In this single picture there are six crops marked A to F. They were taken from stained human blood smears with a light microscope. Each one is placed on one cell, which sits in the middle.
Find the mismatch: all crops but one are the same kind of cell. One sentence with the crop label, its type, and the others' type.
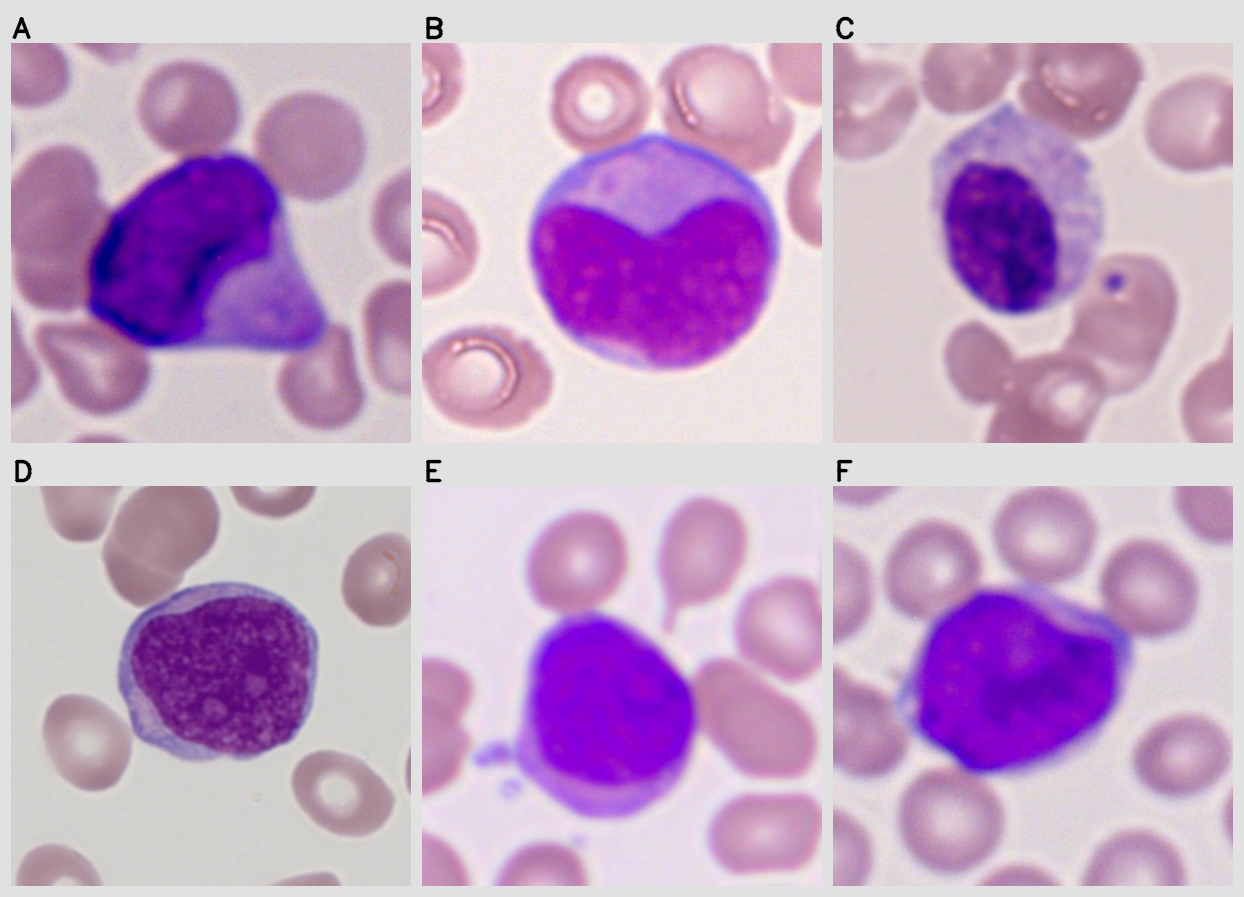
The crops all show myeloblasts, with the exception of crop C, which shows a lymphocyte.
